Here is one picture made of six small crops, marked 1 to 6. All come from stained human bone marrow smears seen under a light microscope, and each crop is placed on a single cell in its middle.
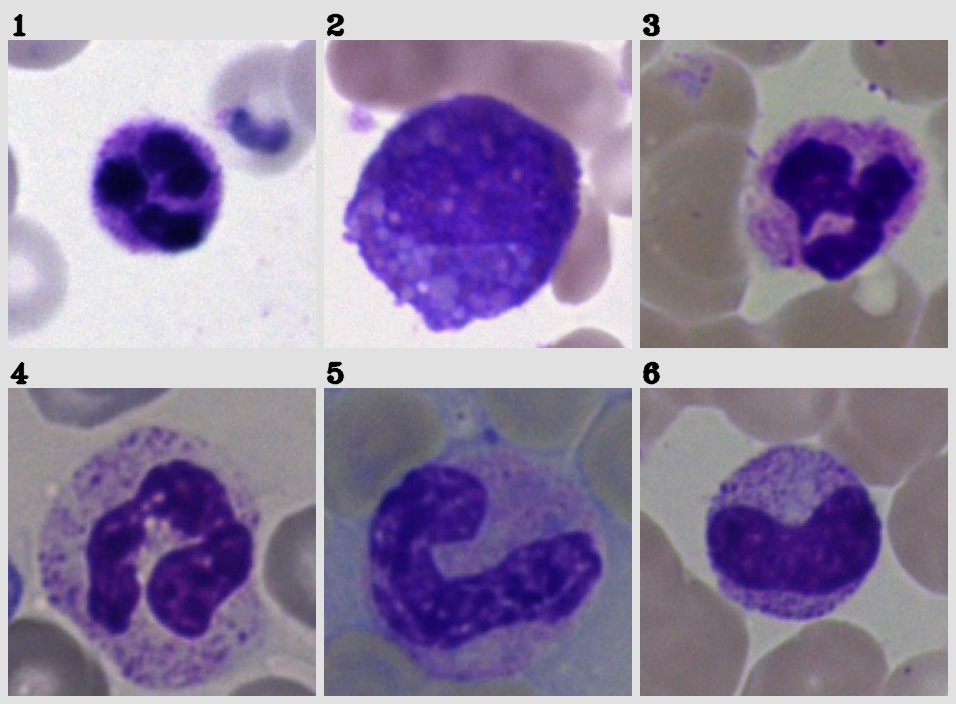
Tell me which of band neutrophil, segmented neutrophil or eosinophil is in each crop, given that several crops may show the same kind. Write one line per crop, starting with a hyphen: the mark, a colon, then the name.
- 1: segmented neutrophil
- 2: eosinophil
- 3: segmented neutrophil
- 4: segmented neutrophil
- 5: band neutrophil
- 6: band neutrophil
